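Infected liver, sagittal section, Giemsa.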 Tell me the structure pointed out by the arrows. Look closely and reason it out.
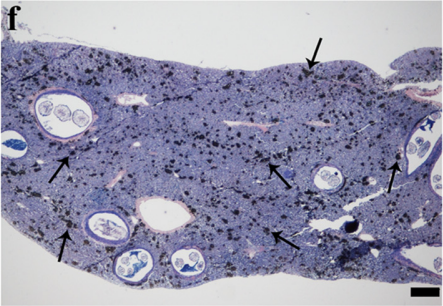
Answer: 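Many small dark-black foci scattered through the purple parenchyma. The foci are dispersed between cysts across the section.
Hence: macrophage aggregates.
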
